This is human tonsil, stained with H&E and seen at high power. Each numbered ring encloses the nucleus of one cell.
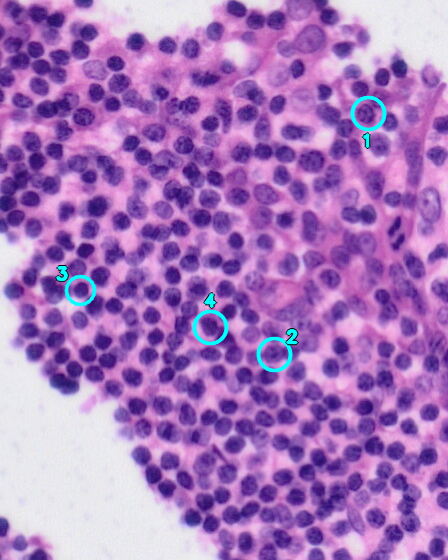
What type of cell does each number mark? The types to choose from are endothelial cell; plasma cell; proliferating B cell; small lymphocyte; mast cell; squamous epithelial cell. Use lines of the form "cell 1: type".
cell 1: plasma cell
cell 2: small lymphocyte
cell 3: small lymphocyte
cell 4: small lymphocyte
